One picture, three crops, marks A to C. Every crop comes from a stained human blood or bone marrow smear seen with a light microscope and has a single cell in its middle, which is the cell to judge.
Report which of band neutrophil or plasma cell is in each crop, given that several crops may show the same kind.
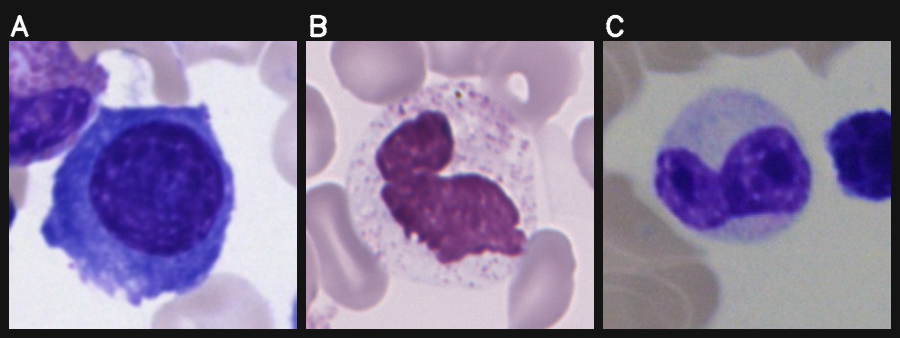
A: plasma cell
B: band neutrophil
C: band neutrophil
